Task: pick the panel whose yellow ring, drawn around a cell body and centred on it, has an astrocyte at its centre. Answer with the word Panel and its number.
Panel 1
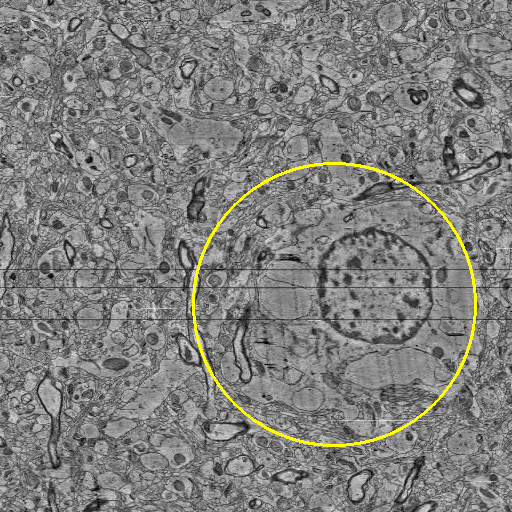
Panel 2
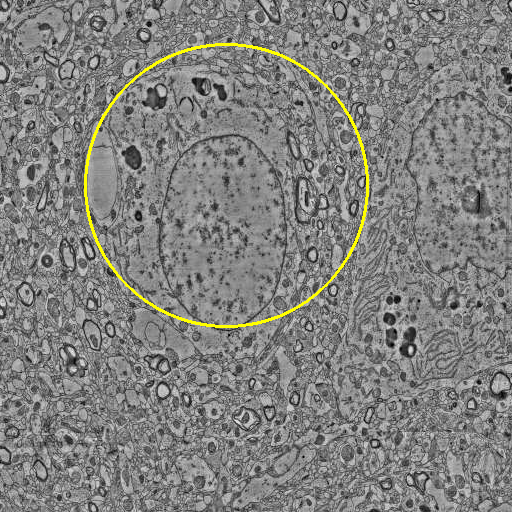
Panel 1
